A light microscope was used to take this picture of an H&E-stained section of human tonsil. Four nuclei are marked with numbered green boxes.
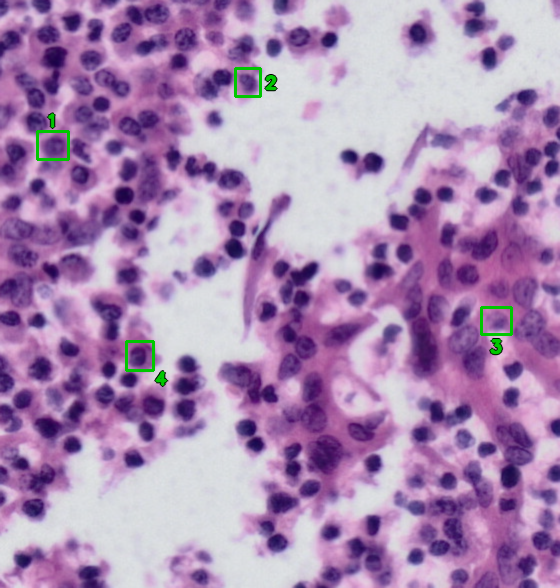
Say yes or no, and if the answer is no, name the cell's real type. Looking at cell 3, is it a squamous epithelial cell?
Yes.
